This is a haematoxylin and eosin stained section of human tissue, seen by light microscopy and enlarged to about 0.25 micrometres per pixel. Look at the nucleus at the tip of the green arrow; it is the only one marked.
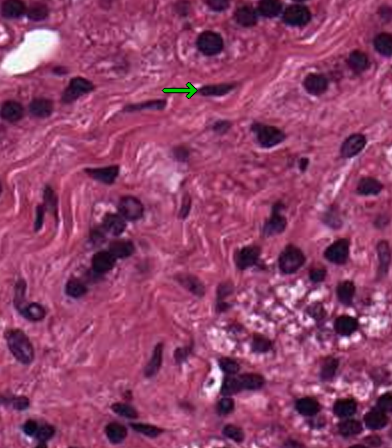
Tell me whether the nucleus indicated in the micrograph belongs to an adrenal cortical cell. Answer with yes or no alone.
no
